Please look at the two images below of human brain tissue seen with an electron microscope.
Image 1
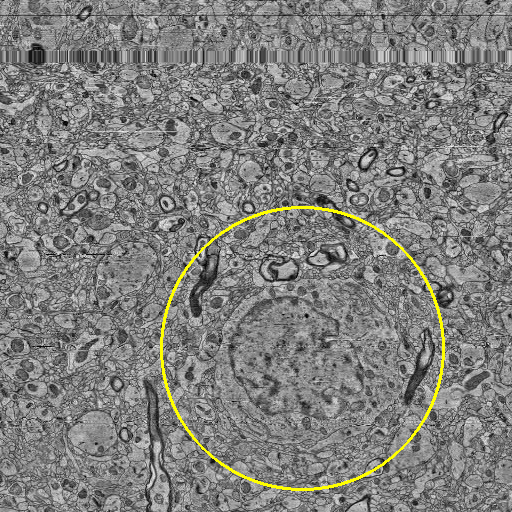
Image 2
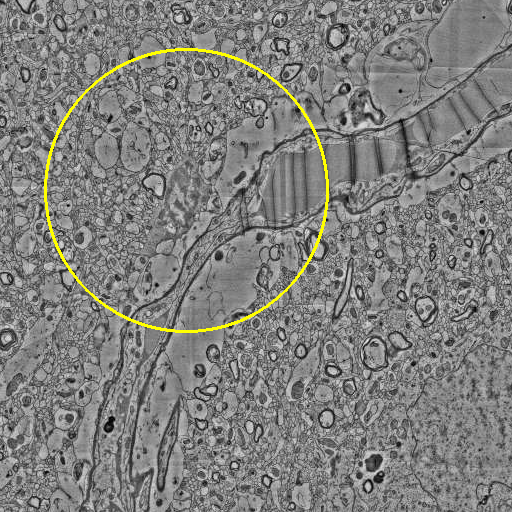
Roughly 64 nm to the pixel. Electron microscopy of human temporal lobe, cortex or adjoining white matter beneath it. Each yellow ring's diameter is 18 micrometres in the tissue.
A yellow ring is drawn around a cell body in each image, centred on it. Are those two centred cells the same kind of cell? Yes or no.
no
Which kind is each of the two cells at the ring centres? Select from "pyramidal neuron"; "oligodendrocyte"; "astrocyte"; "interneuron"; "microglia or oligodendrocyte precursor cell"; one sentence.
The cell at the centre of the ring is an interneuron in the first picture and an oligodendrocyte in the second.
